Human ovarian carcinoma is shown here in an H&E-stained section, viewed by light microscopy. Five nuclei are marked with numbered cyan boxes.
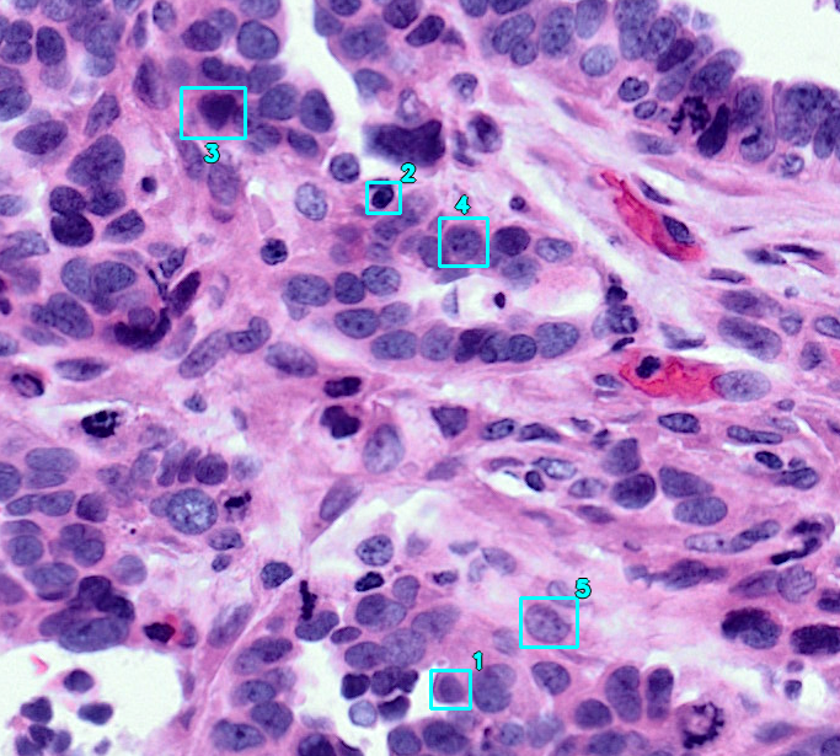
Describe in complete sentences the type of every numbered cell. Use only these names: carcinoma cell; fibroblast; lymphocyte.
Cells 1, 3 and 4 are carcinoma cells. Cell 2 is a lymphocyte. Cell 5 is a fibroblast.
